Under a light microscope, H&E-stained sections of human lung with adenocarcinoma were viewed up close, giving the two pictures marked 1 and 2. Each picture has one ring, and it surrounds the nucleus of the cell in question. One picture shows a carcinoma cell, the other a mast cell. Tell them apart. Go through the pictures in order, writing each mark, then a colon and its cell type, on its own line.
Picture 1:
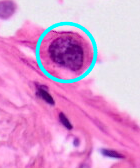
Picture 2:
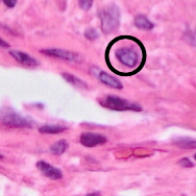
1: carcinoma cell
2: mast cell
